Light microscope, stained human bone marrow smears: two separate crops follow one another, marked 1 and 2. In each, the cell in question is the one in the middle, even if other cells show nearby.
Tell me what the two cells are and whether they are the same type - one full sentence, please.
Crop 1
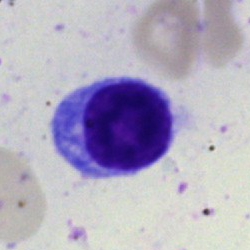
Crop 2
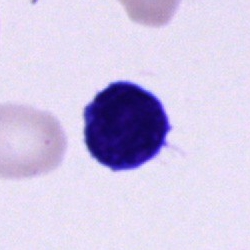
Yes, the cells that the two crops centre on are lymphocytes.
